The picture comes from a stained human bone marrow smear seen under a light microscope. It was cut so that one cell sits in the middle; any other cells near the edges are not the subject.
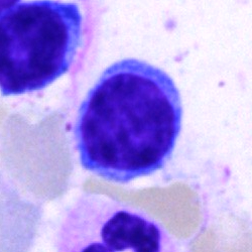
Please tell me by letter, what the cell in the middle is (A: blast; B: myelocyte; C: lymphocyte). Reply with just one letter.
C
